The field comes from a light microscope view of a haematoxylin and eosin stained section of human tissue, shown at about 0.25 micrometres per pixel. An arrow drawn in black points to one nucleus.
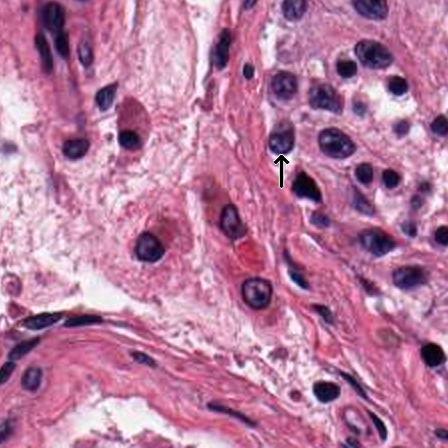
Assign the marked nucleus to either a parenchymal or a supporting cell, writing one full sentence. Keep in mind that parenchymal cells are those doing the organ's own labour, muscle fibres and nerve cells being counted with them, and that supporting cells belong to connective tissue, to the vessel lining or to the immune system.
In the section shown, the marked nucleus belongs to a parenchymal cell, namely a spermatogonium.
